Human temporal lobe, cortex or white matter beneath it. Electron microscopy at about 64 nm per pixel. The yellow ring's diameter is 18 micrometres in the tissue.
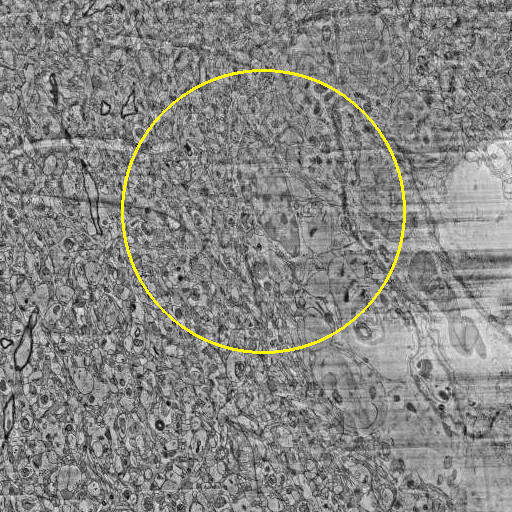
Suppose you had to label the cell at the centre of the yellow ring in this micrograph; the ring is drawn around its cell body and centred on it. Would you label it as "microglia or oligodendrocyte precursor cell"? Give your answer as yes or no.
Yes, I would label it that way.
